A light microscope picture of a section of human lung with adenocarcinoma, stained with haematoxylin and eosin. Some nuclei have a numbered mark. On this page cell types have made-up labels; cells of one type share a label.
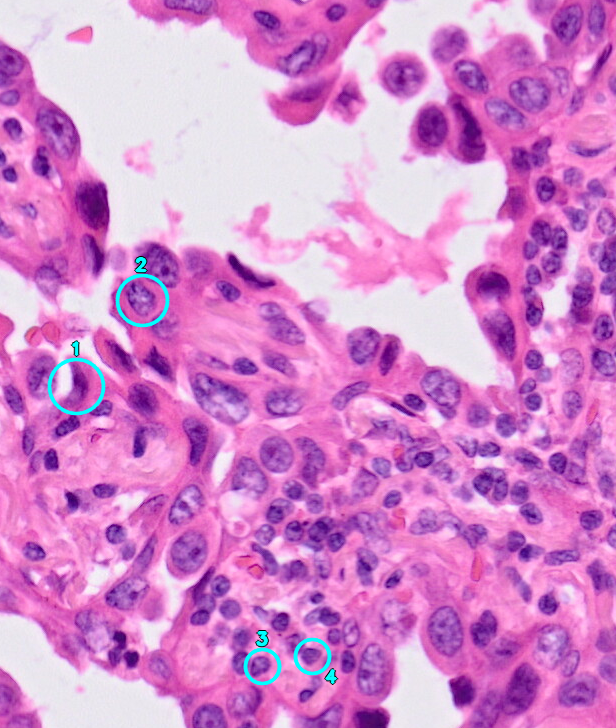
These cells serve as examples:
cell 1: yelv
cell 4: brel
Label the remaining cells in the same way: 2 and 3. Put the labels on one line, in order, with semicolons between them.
yelv; brel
